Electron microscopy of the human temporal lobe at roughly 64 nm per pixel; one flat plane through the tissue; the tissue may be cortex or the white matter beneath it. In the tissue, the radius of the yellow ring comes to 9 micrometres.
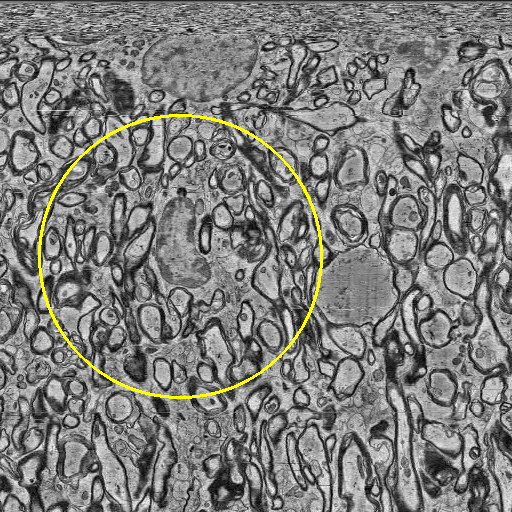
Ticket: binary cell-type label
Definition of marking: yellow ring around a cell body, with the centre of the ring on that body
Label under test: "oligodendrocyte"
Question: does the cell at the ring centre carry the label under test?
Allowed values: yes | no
no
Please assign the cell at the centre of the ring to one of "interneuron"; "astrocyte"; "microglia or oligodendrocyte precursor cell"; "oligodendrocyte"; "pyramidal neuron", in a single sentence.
The cell enclosed by the ring is a microglial cell or oligodendrocyte precursor cell.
